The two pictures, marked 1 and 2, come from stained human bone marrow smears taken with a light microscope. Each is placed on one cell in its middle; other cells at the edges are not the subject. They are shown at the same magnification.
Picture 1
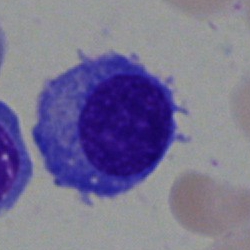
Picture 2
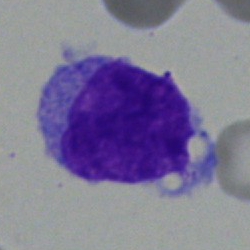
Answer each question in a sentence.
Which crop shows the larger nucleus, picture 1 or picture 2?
It is the nucleus in picture 2, about 1.5 times as large in area as the one in picture 1.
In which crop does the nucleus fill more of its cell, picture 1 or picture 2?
Of the two, the nucleus in picture 2 makes up the greater part of its cell.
